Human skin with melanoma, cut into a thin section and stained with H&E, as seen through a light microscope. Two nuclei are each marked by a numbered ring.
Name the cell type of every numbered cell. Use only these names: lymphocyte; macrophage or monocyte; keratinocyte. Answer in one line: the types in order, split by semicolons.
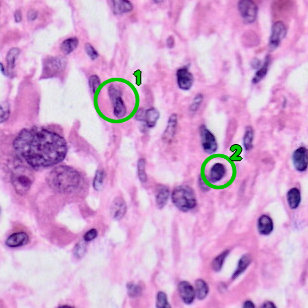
macrophage or monocyte; lymphocyte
